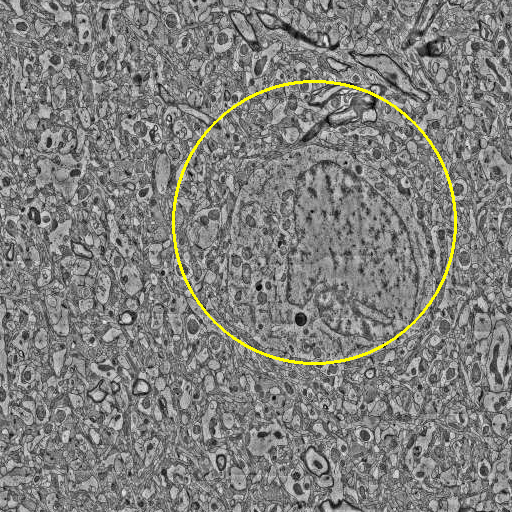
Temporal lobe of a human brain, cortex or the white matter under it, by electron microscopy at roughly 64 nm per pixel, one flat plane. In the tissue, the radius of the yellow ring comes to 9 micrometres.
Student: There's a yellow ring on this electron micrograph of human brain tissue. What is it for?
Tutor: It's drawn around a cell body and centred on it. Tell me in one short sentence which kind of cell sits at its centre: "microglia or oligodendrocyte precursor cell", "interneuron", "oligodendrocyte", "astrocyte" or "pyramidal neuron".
The cell at the centre of the ring is an interneuron.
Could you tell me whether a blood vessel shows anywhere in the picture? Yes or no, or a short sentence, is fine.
No.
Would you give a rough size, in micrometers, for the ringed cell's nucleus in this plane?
The nucleus is approximately 12 micrometers long by 9 micrometers wide in this plane.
